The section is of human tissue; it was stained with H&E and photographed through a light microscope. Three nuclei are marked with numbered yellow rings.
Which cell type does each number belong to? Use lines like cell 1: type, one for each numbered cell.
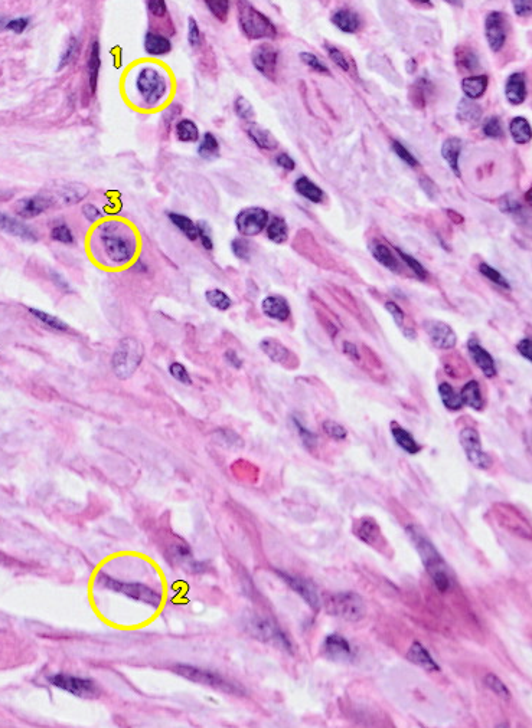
cell 1: lymphocyte
cell 2: fibroblast
cell 3: endothelial cell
